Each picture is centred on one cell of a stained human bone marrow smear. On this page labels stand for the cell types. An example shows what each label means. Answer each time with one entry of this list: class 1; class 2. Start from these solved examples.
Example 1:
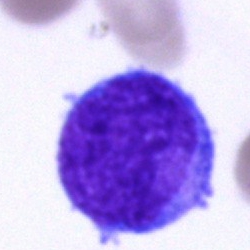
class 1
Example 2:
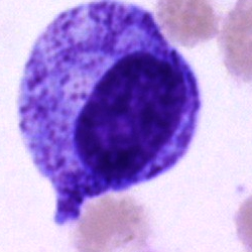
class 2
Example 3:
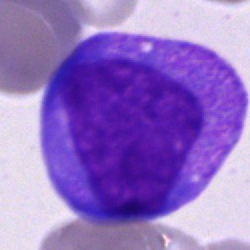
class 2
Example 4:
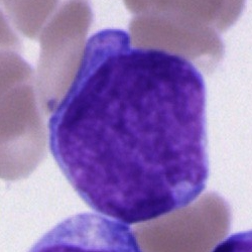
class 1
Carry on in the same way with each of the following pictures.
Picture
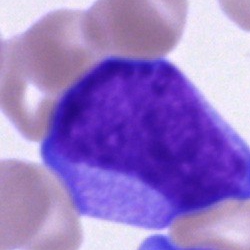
class 1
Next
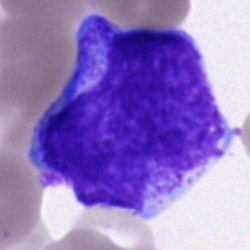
class 2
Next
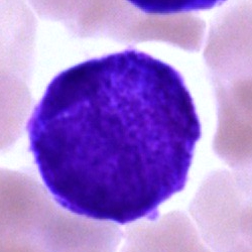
class 1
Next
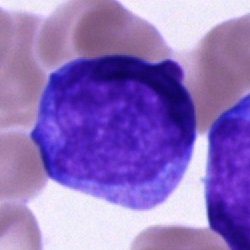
class 1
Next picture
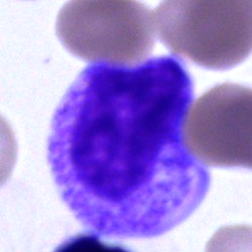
class 2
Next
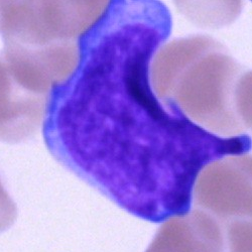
class 1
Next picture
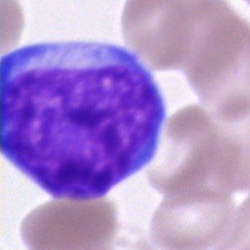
class 1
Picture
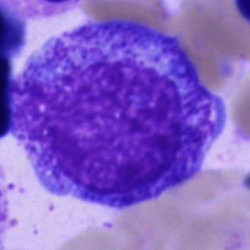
class 2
